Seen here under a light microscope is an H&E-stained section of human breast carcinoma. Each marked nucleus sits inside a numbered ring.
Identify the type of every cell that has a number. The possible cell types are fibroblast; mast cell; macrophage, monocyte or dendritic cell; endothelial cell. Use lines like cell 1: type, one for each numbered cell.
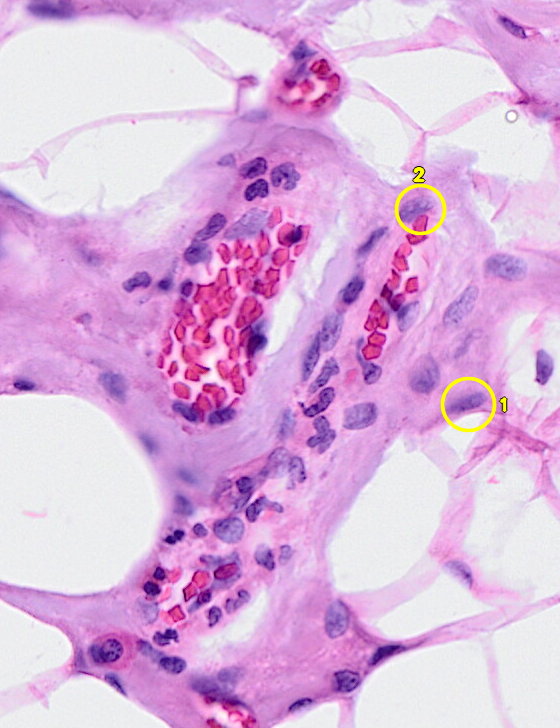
cell 1: fibroblast
cell 2: endothelial cell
